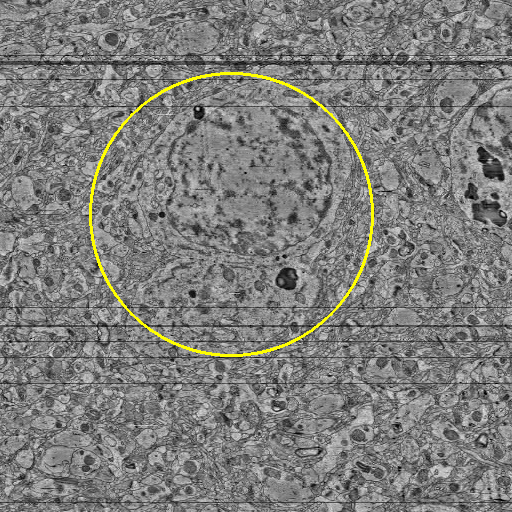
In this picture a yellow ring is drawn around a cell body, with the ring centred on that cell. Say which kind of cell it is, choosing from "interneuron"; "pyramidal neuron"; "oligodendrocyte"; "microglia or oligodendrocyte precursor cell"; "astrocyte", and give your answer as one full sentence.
Here it is an interneuron that sits at the centre of the drawn yellow ring.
